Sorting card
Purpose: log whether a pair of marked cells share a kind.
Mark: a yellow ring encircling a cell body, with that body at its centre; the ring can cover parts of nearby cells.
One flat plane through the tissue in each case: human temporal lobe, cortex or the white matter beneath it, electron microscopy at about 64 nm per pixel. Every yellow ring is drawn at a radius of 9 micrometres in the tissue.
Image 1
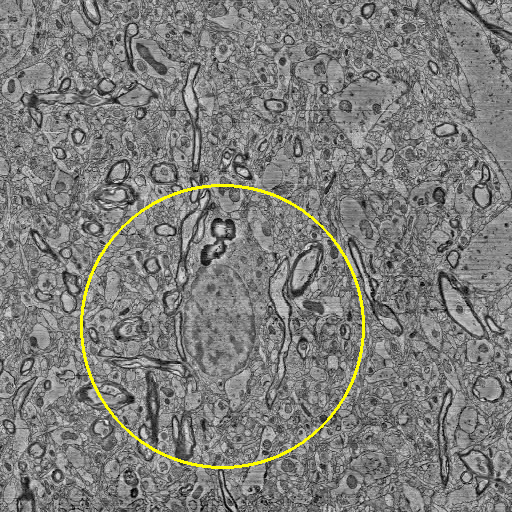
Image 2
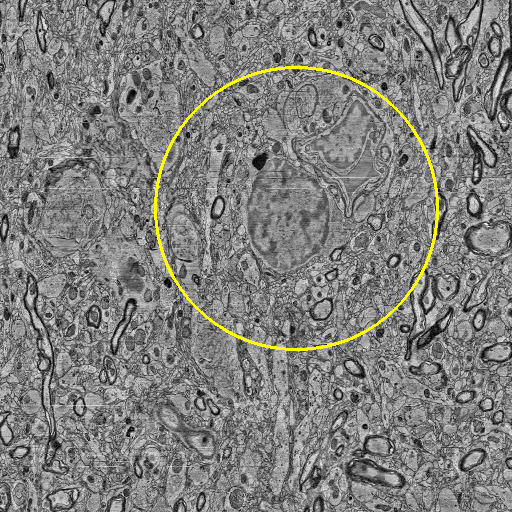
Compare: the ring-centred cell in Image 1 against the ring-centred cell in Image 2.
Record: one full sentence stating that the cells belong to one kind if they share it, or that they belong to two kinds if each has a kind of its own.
Across Images 1 and 2, the two ring-centred cells belong to one kind.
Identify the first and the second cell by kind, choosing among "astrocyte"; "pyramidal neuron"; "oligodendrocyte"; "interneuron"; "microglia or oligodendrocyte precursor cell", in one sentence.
The first and the second cell are each an oligodendrocyte.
